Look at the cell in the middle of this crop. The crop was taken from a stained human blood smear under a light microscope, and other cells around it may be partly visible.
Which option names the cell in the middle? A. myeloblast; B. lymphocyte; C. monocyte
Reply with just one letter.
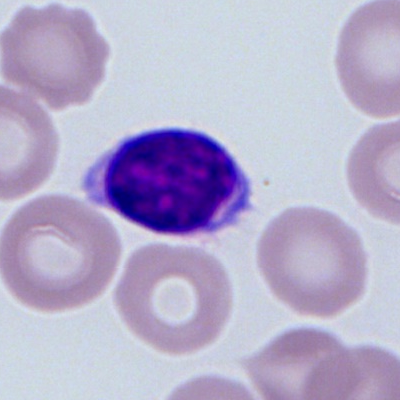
B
